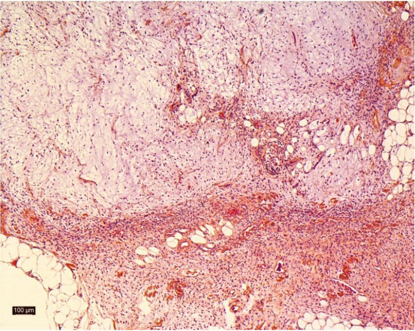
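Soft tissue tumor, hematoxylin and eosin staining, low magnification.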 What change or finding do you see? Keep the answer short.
juxtaposition of dense spindle cell area and paucicellular myxoid proliferation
